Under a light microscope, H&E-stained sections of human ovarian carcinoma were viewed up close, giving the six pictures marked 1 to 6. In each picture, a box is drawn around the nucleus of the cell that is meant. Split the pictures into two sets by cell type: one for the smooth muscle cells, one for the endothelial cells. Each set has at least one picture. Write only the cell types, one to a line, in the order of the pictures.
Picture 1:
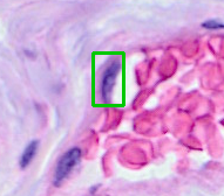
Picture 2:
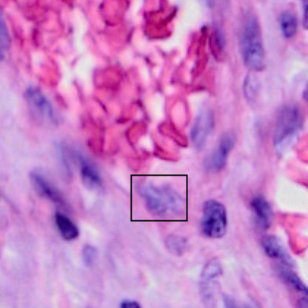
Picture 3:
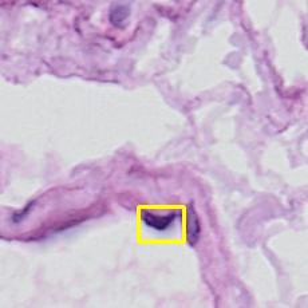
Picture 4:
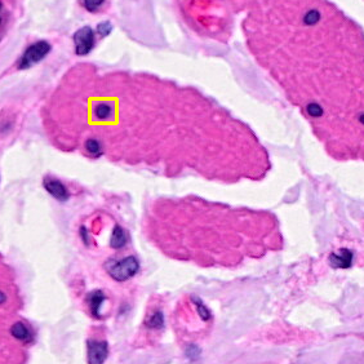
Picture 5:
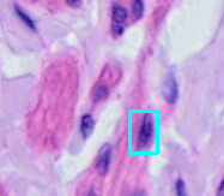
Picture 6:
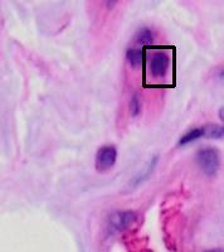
endothelial cell
endothelial cell
endothelial cell
smooth muscle cell
smooth muscle cell
smooth muscle cell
